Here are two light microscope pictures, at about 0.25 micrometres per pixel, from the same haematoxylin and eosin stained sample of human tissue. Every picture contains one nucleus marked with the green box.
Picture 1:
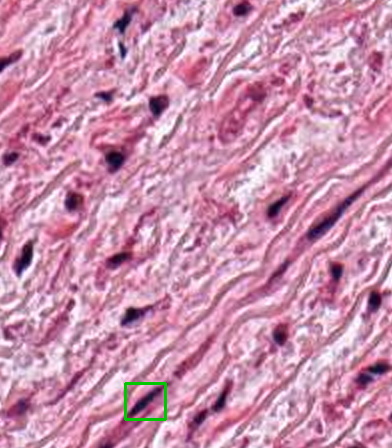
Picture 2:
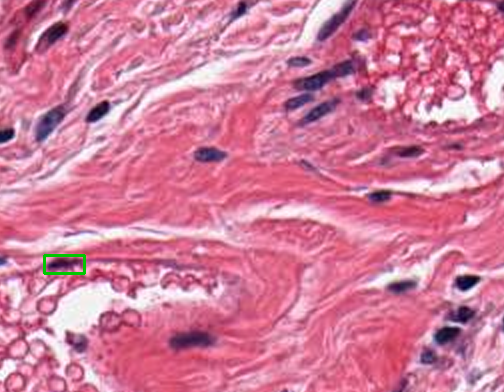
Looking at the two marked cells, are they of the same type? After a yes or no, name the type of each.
No, the first is a smooth muscle cell and the second an endothelial cell.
